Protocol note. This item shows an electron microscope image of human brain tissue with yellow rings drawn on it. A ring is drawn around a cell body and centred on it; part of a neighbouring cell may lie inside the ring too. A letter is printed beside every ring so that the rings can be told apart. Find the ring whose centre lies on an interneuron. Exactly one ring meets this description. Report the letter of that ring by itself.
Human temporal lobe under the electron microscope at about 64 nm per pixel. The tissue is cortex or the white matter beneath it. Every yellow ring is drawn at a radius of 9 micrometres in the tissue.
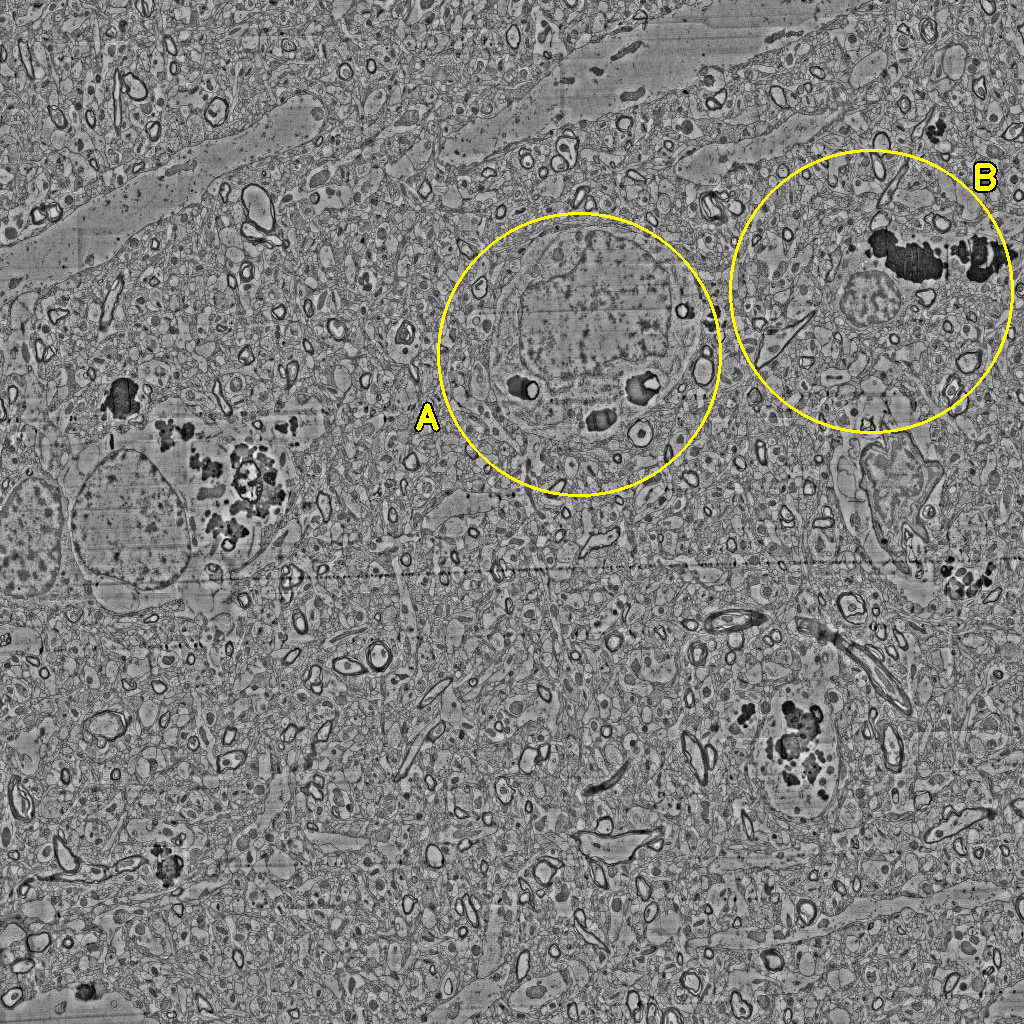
A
